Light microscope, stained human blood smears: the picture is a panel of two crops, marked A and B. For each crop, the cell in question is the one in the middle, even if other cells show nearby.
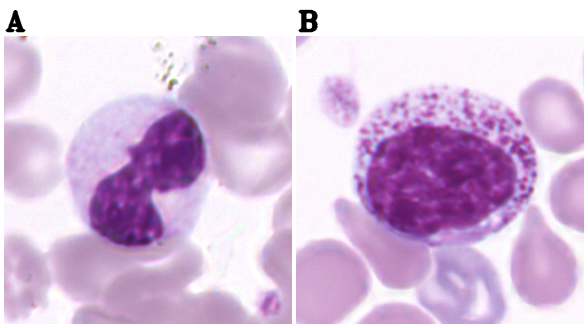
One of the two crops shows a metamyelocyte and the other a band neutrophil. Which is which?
A: band neutrophil
B: metamyelocyte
